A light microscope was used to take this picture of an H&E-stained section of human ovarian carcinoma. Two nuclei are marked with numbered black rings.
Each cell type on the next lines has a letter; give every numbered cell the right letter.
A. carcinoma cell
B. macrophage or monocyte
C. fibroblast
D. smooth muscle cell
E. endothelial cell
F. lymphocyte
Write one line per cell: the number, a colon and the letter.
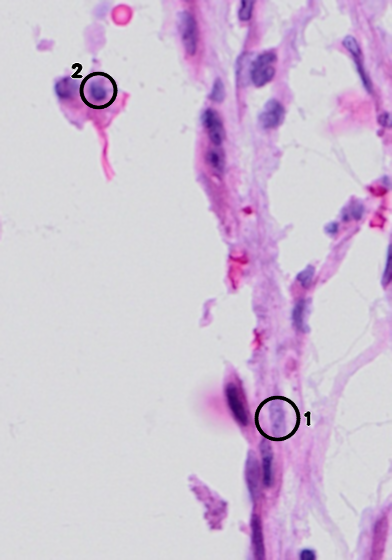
1: C
2: B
